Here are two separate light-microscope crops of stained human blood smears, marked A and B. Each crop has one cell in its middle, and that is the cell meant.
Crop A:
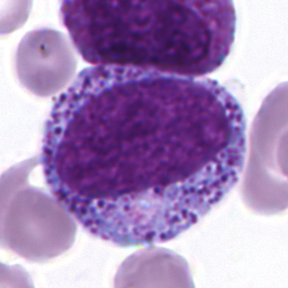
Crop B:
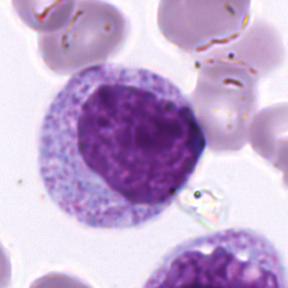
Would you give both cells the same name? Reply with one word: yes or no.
no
